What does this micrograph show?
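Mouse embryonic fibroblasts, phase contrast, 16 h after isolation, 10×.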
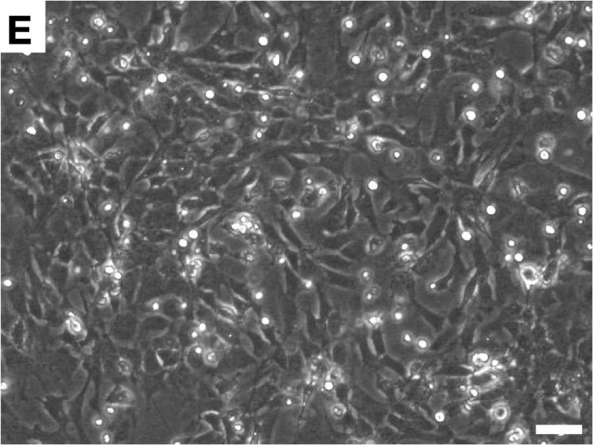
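Most cells are elongated or spindle-shaped, with tapered ends and thin processes, and they lie in loose, swirling arrangements that touch and overlap one another. Their cytoplasm is pale and thin, so the cell outlines appear as faint grey edges. Scattered across the layer are many small, round, very bright refractile bodies. These are rounded cells or debris sitting on top of the spread cells rather than part of the flat layer. Nearly the whole surface is covered.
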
